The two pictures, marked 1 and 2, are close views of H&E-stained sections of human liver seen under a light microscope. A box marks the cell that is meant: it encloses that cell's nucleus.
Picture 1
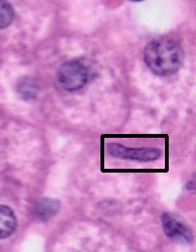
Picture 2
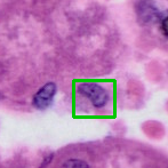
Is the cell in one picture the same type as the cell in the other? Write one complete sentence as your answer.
Yes; the cells in both pictures are Kupffer cells.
